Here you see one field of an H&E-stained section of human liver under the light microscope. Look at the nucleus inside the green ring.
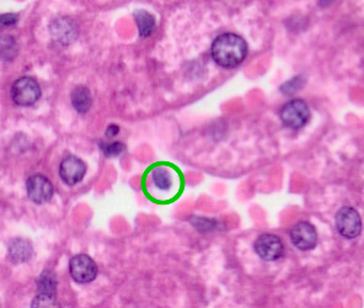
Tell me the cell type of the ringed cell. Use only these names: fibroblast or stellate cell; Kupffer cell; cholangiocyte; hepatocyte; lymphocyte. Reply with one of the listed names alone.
lymphocyte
